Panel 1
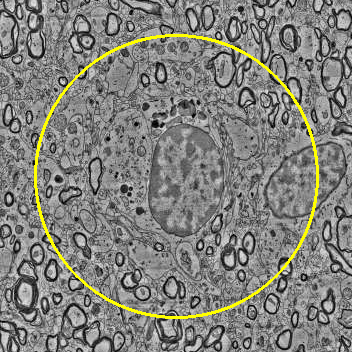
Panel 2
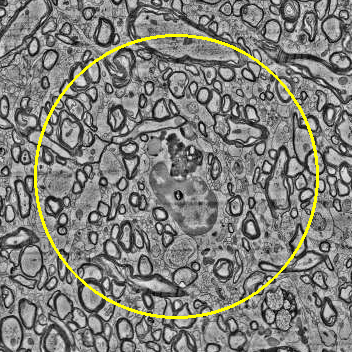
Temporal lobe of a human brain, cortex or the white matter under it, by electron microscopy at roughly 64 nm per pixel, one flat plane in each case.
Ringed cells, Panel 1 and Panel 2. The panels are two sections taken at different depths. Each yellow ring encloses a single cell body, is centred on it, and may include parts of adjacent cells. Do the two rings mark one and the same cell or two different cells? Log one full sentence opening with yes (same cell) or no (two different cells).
No, the circled cells number two, not one.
